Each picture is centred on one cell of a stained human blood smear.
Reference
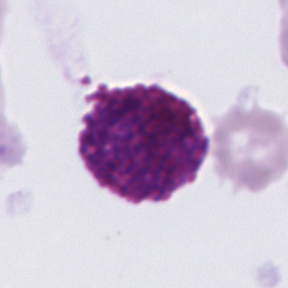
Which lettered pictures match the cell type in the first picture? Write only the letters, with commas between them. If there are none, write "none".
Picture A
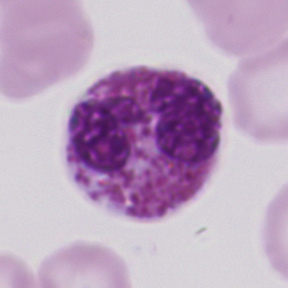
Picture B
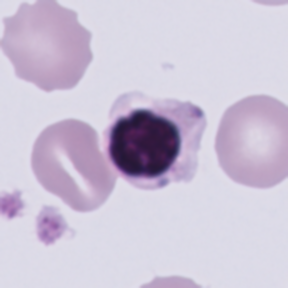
A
